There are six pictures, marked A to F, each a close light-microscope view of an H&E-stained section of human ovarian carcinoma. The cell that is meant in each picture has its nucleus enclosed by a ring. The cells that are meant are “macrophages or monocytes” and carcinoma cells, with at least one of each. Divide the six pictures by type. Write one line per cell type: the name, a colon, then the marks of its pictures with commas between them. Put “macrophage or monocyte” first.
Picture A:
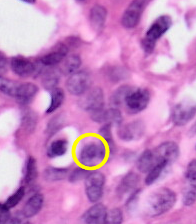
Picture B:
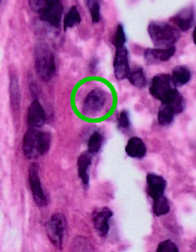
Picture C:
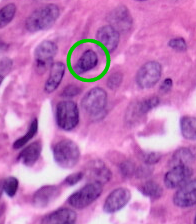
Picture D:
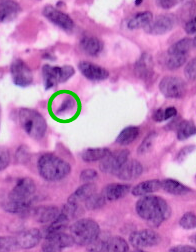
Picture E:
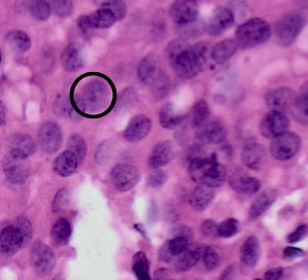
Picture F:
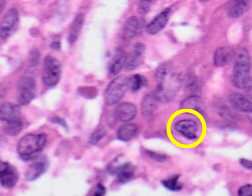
macrophage or monocyte: B, C, D, F
carcinoma cell: A, E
